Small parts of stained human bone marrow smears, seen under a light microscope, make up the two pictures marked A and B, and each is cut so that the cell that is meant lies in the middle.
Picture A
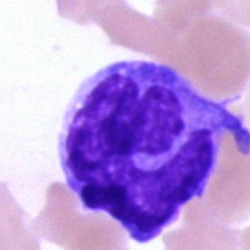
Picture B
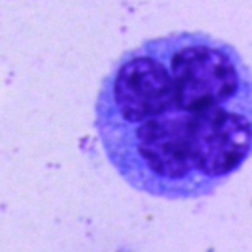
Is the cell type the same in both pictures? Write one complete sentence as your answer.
Yes, both are monocytes.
